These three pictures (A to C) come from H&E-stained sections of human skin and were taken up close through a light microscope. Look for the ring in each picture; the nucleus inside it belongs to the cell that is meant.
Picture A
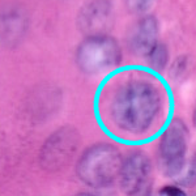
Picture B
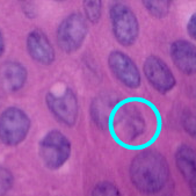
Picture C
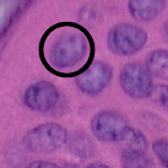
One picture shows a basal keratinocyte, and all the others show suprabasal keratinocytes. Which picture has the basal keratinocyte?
A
